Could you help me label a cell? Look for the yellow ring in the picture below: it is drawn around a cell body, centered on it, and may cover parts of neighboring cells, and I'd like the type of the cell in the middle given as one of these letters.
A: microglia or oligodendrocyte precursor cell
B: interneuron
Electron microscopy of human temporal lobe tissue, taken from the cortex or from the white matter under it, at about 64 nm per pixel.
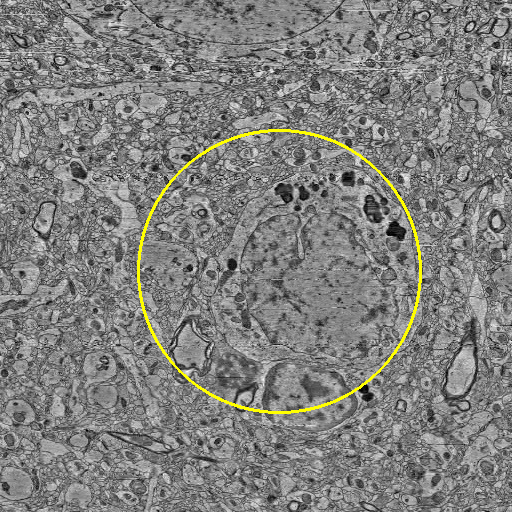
B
